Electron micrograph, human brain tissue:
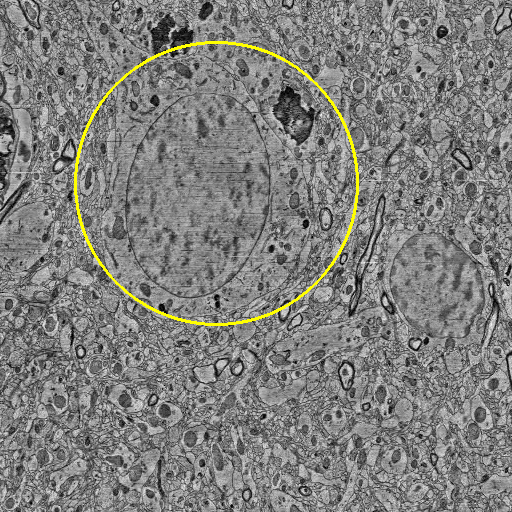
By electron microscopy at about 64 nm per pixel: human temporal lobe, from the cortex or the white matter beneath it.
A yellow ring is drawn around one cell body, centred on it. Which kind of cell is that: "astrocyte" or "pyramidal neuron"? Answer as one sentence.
It is a pyramidal neuron at the centre of the ring.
